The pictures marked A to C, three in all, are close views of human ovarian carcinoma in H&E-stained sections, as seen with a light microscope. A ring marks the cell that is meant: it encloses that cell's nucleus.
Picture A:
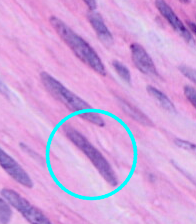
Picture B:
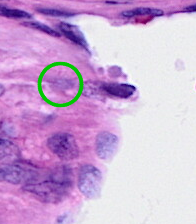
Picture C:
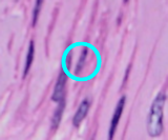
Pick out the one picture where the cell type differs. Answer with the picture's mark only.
A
